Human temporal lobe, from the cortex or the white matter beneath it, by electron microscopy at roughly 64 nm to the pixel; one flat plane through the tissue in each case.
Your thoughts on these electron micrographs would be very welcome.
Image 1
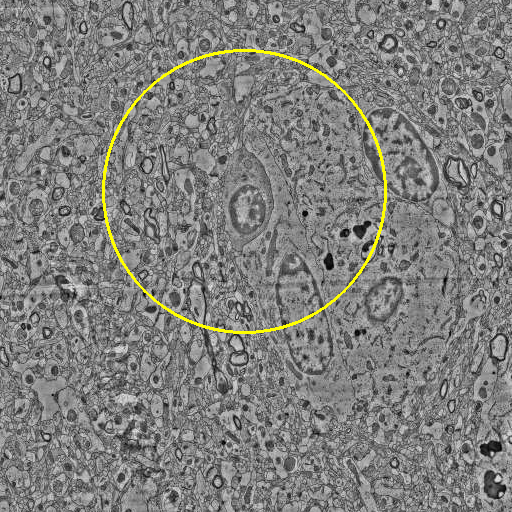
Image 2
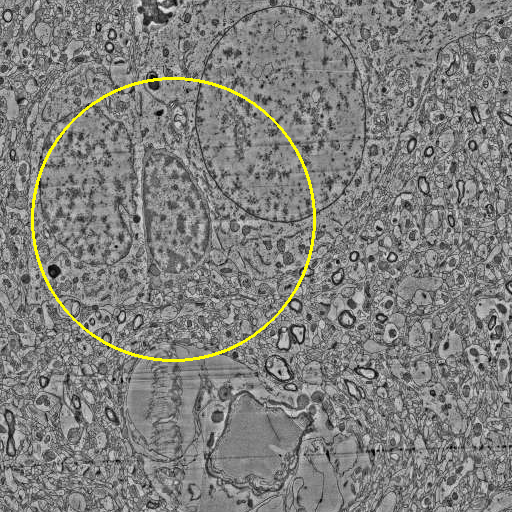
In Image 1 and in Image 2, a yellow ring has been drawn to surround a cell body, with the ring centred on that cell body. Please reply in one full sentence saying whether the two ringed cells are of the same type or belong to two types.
The ringed cells in Image 1 and Image 2 are of the same type.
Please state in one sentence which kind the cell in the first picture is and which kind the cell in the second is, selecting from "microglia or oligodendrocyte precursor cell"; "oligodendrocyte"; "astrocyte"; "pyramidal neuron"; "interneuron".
The cell at the ring centre is an oligodendrocyte in both pictures.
